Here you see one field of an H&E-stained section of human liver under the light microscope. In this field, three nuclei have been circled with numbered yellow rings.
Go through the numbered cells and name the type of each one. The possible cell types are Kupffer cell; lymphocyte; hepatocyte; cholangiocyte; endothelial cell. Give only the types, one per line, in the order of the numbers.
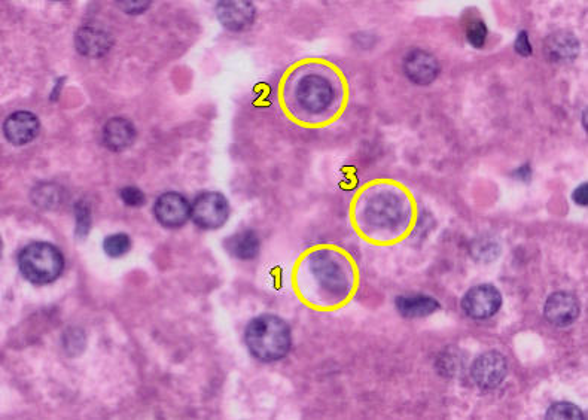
Kupffer cell
hepatocyte
hepatocyte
